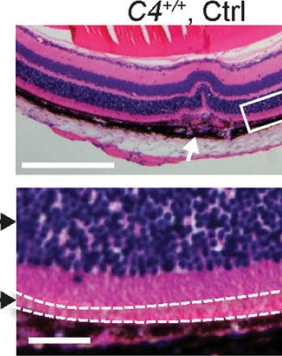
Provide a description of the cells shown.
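This is a section through the back of the eye showing the layered retina over the dark pigmented epithelium and choroid, with a lesion site. In the upper image the retina shows alternating purple nuclear layers and pink plexiform layers; at the lesion the layers fold inward and the dark pigmented layer is disrupted. The lower close-up shows the outer nuclear layer as densely packed dark purple round nuclei, then a pink band of photoreceptor segments, with the outer segment layer as a pink band bordered by dashed lines directly above the dark brown-black pigmented layer.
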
